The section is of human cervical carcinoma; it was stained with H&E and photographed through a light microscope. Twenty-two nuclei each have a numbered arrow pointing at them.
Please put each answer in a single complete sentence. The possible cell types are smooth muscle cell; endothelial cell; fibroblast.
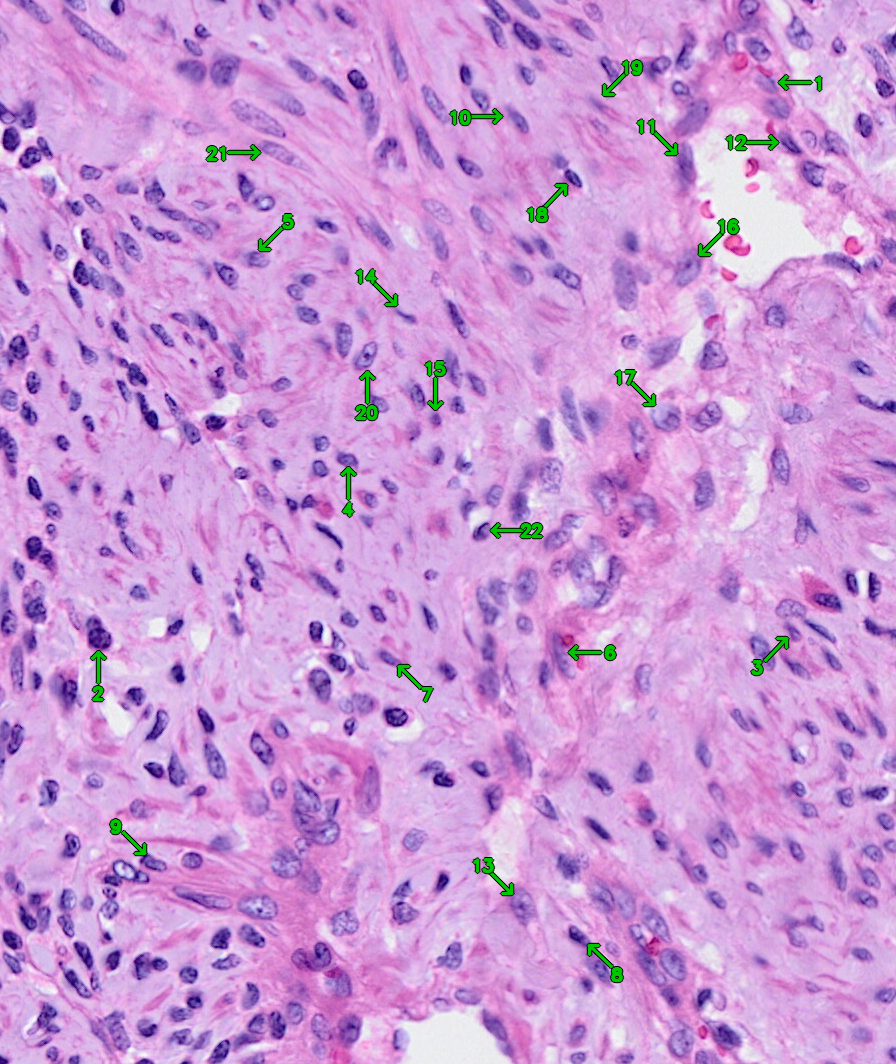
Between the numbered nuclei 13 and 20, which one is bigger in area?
Nucleus 13 is larger, with an area about 1.5 times that of nucleus 20.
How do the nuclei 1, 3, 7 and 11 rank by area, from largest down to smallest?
The nuclei rank 11, 1, 7, 3, from largest to smallest.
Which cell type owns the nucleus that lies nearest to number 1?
The nucleus nearest to number 1 is that of an endothelial cell.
